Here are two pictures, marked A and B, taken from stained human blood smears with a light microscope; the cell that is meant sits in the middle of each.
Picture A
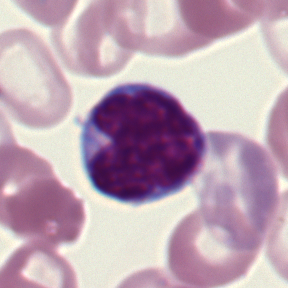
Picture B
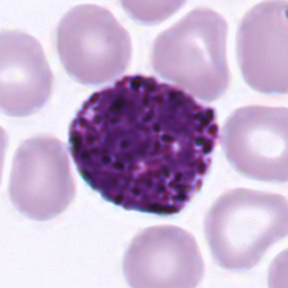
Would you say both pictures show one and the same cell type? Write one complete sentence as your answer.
No. Picture A shows a typical lymphocyte, but picture B shows a basophil.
